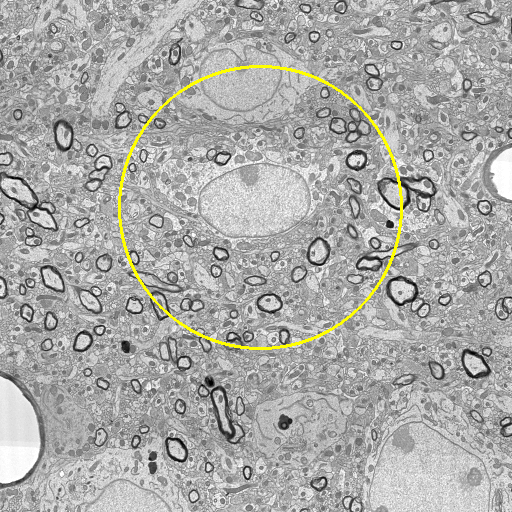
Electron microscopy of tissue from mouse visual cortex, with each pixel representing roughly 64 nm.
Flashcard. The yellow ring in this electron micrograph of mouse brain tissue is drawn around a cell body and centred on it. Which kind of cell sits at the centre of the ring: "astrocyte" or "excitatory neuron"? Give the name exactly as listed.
astrocyte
